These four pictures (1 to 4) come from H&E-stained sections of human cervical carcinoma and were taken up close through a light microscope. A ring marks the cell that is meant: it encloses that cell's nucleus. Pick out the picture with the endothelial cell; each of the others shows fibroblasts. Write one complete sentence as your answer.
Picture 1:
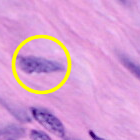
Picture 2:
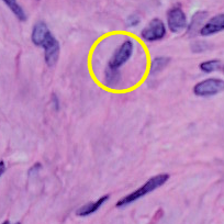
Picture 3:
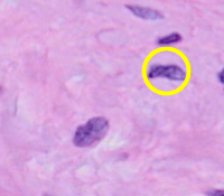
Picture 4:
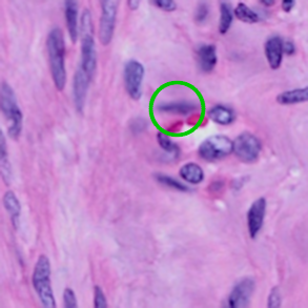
It is picture 4 that shows the endothelial cell.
